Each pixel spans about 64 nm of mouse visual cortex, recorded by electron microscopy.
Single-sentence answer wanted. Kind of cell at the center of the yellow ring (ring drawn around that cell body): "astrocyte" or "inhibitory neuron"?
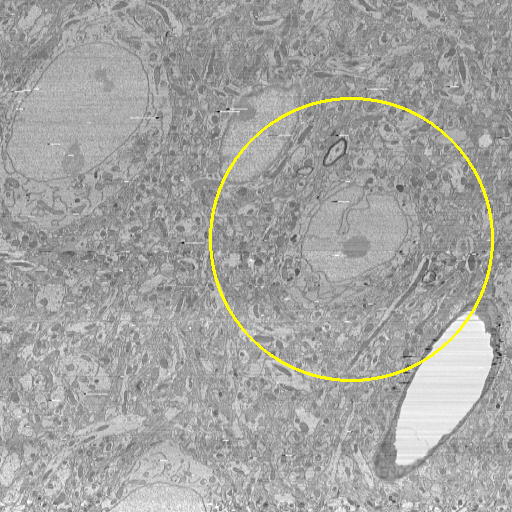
The cell centered in the ring is an inhibitory neuron.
